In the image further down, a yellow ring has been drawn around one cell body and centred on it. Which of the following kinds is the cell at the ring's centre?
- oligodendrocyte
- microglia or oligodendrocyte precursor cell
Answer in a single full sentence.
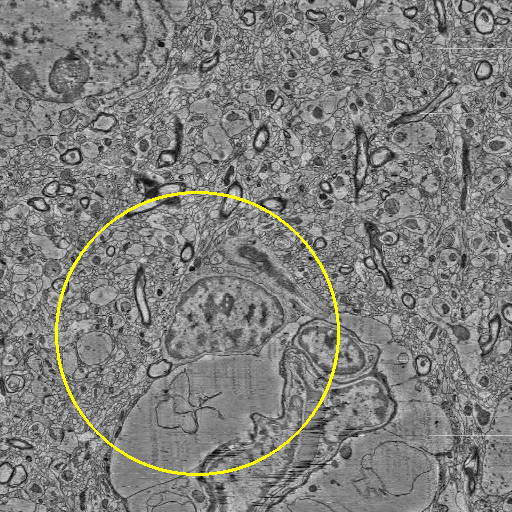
In the picture, the cell sitting at the centre of the yellow ring is an oligodendrocyte.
